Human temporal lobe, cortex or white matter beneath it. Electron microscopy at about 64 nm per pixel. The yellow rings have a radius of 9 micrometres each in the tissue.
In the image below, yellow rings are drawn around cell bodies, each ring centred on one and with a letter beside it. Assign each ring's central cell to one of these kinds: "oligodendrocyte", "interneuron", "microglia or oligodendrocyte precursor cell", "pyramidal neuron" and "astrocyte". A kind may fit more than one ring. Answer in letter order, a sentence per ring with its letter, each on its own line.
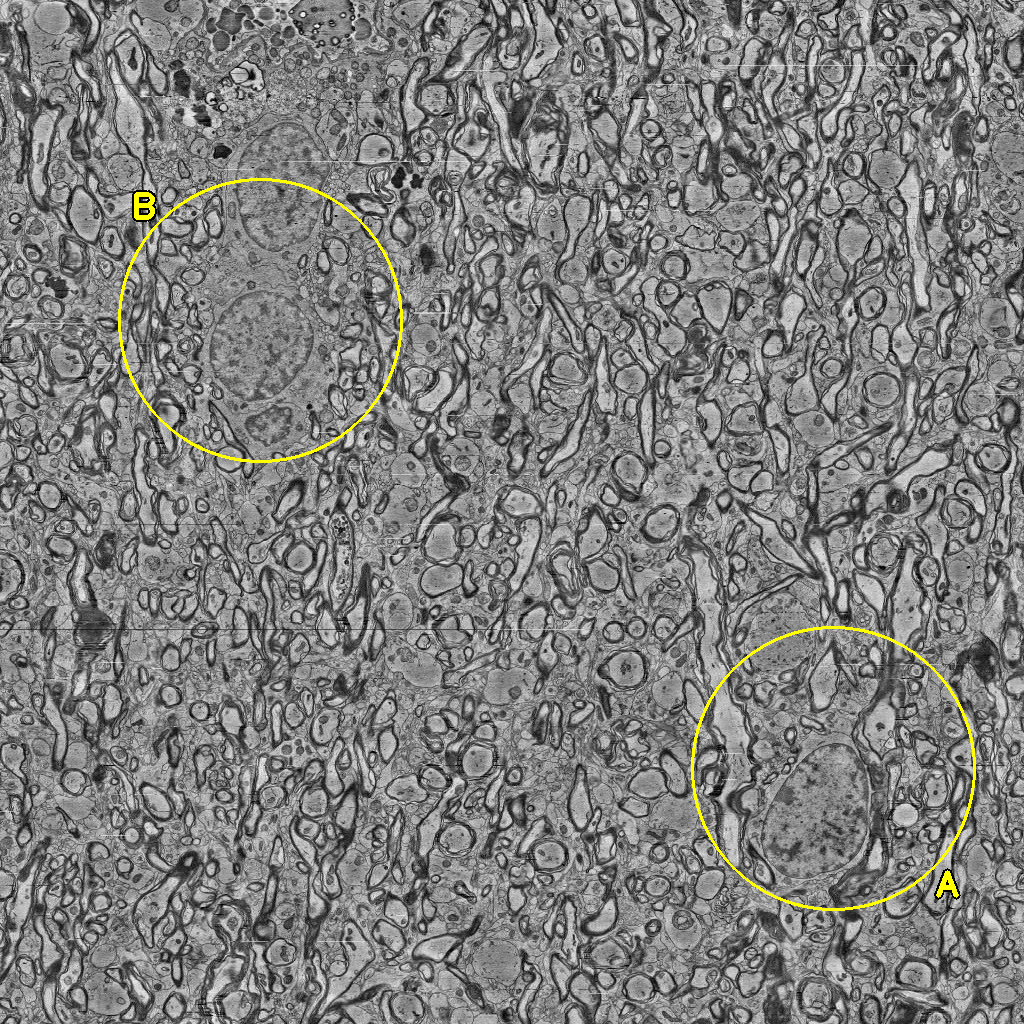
The central cell of ring A is a microglial cell or oligodendrocyte precursor cell.
The central cell of ring B is an oligodendrocyte.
